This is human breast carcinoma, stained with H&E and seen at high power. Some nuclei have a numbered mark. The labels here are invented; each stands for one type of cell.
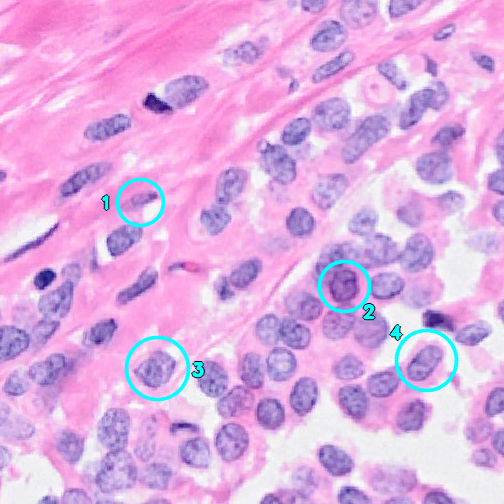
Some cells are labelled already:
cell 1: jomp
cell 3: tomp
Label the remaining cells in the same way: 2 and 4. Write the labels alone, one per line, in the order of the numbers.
tomp
tomp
